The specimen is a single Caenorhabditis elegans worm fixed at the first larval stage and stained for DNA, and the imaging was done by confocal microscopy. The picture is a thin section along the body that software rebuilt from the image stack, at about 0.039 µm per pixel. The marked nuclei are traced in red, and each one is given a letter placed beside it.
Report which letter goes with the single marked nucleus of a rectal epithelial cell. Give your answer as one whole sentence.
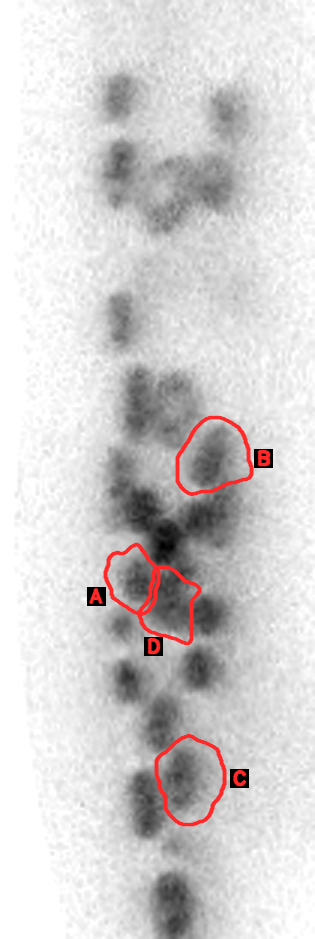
D is the one that belongs to a rectal epithelial cell.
